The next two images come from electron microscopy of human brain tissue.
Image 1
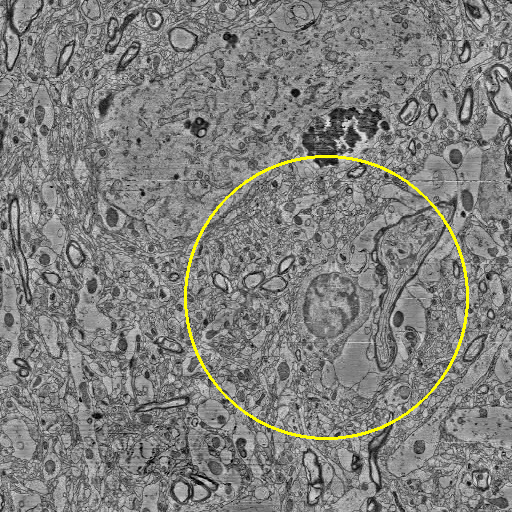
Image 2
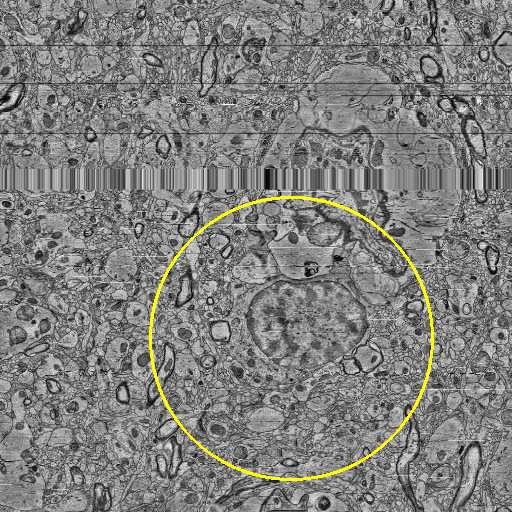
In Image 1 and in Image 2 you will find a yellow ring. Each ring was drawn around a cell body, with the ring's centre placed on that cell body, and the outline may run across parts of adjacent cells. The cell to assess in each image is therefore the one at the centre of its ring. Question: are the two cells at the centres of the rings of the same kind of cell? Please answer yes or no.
yes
